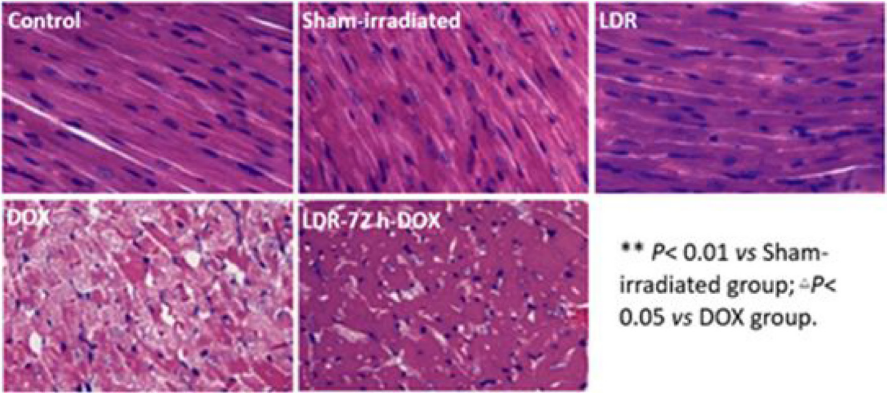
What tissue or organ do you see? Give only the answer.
heart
